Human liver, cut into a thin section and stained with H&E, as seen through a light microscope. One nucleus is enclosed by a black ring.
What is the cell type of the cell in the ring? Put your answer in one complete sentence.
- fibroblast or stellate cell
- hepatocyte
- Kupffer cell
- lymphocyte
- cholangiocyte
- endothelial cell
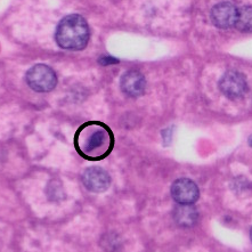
Speaking plainly, the cell in the ring is nothing other than a fibroblast or stellate cell.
